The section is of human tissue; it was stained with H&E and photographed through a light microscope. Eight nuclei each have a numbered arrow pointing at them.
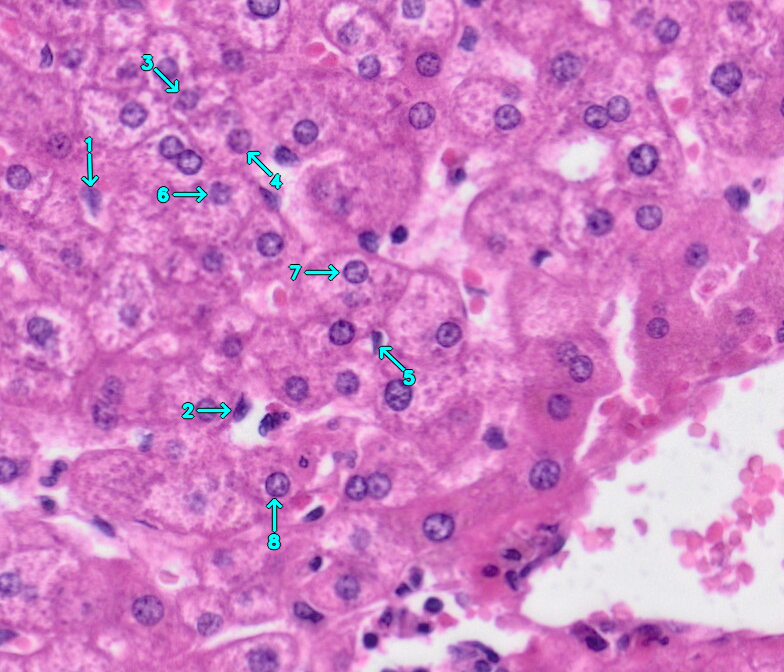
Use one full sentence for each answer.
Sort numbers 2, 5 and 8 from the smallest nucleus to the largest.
The order from the smallest nucleus to the largest is 5, 2, 8.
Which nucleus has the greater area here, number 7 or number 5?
Of the two, number 7 is bigger and takes up about 2.5 times the area of number 5.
